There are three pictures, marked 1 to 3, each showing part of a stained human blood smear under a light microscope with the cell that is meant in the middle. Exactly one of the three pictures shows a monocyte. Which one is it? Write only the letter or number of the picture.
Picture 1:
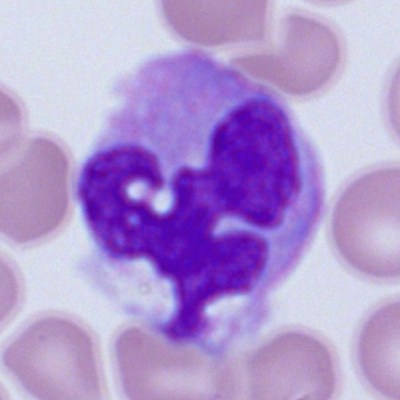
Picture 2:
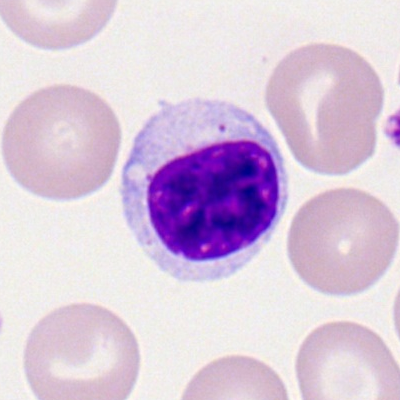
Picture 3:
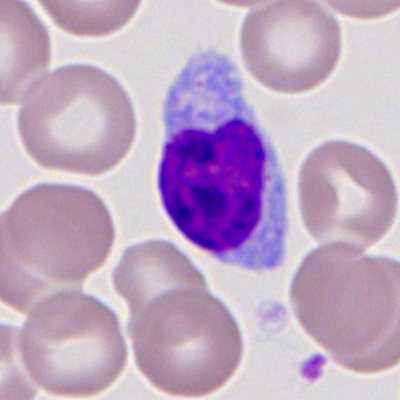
1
